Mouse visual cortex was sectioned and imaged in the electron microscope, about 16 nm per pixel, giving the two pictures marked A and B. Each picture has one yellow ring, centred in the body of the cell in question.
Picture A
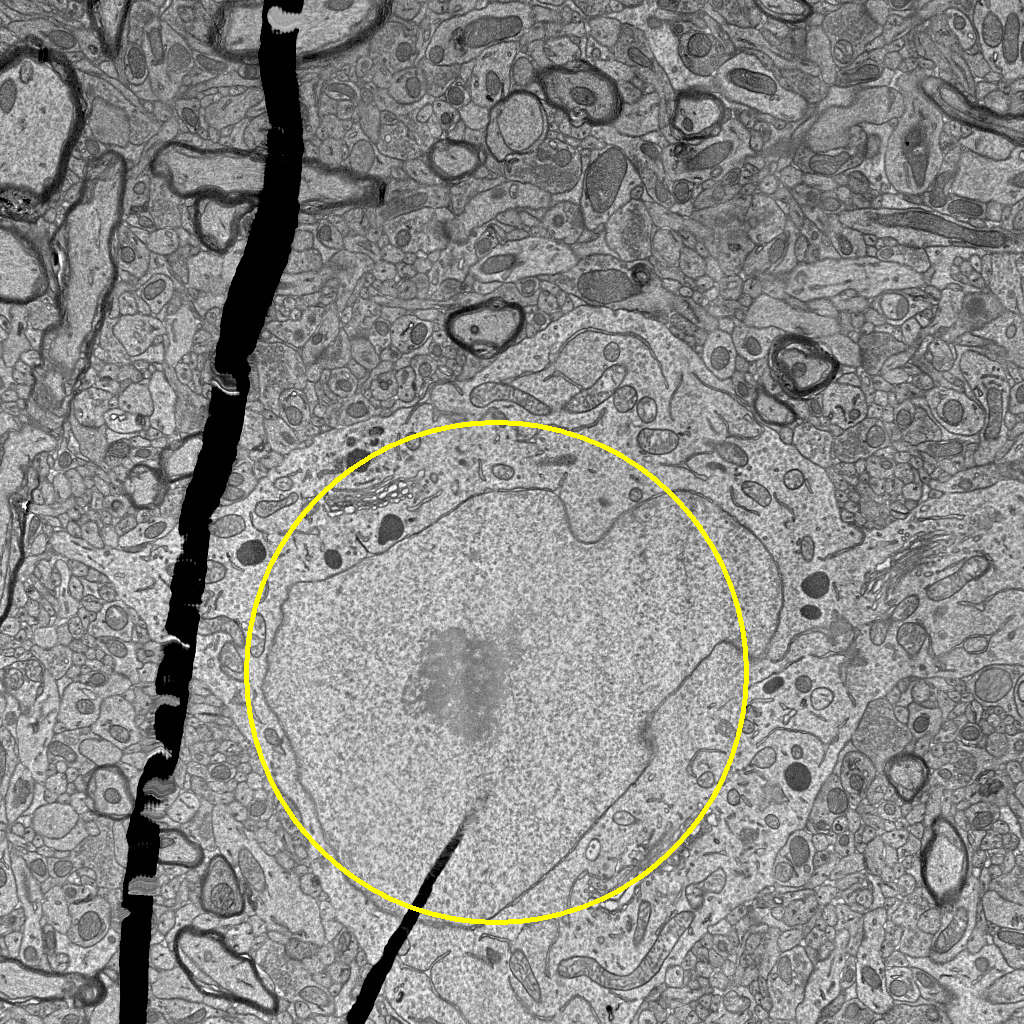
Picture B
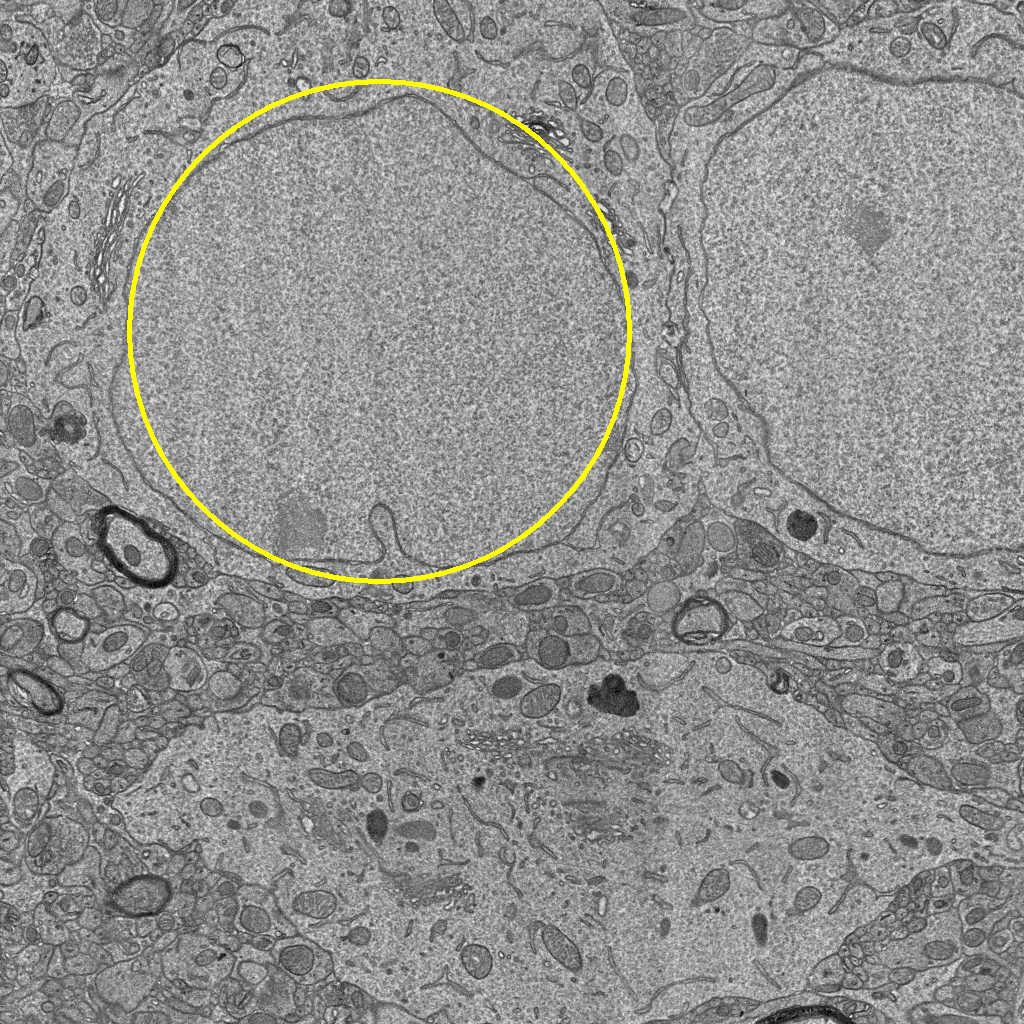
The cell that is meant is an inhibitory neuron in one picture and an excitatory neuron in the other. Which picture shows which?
The cell in picture A is an inhibitory neuron, and the one in picture B is an excitatory neuron.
